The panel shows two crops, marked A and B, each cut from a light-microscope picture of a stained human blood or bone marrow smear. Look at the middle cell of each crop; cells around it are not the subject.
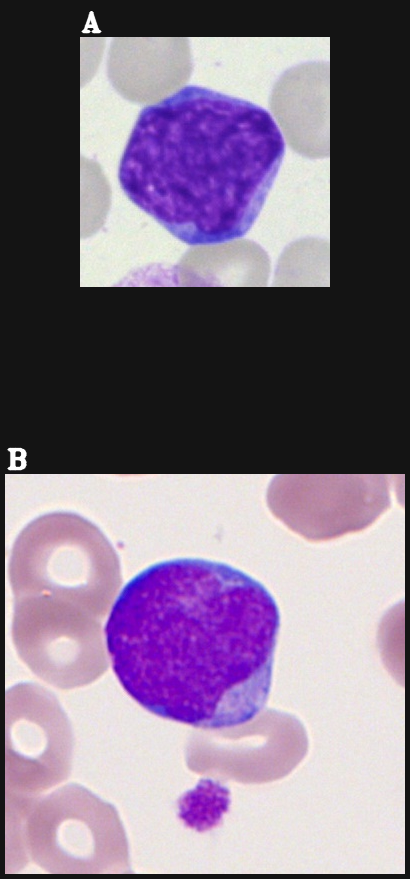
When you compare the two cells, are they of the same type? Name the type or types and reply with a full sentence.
Yes, the cells at the centre of both crops are blasts.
